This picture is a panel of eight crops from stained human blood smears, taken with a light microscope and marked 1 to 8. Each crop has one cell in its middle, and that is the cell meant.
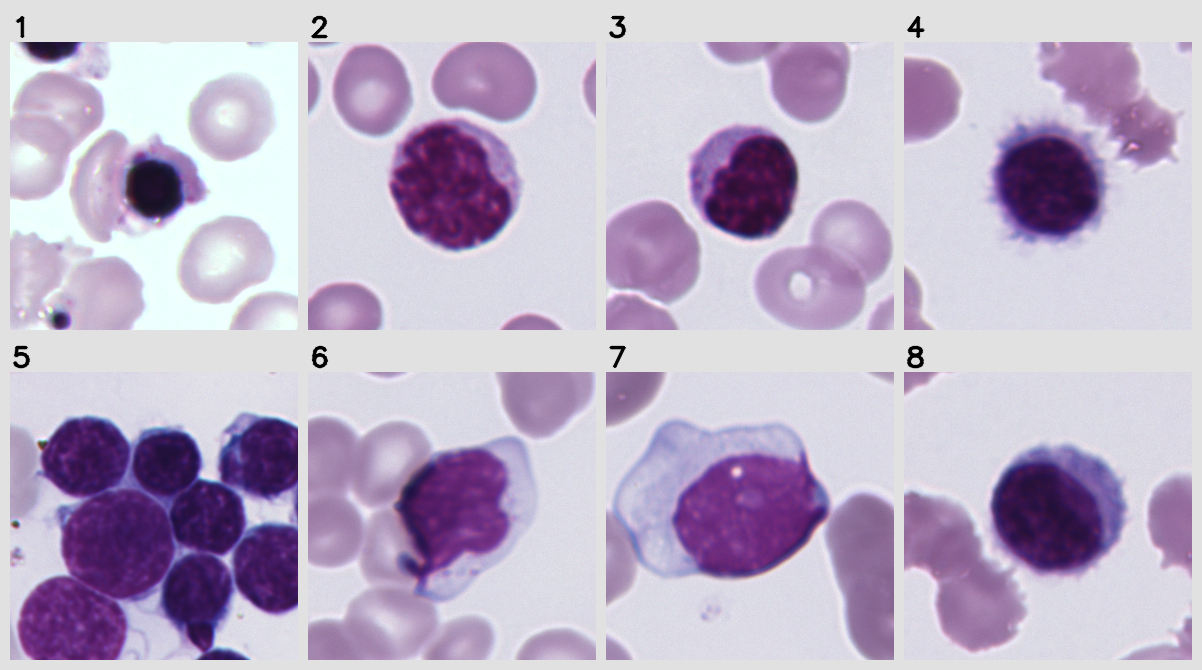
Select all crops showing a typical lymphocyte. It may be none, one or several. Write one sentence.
Crops 2, 3 and 7 depict typical lymphocytes in the middle.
